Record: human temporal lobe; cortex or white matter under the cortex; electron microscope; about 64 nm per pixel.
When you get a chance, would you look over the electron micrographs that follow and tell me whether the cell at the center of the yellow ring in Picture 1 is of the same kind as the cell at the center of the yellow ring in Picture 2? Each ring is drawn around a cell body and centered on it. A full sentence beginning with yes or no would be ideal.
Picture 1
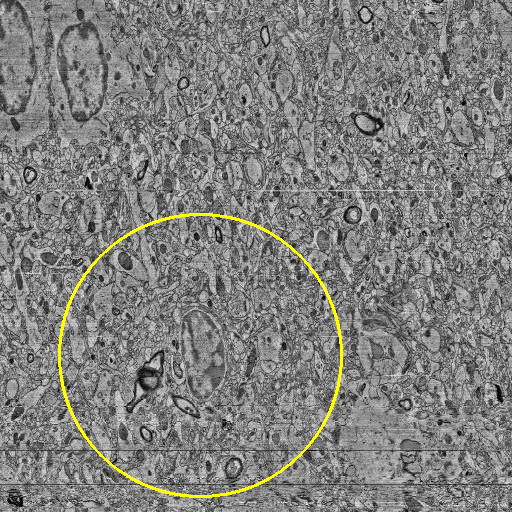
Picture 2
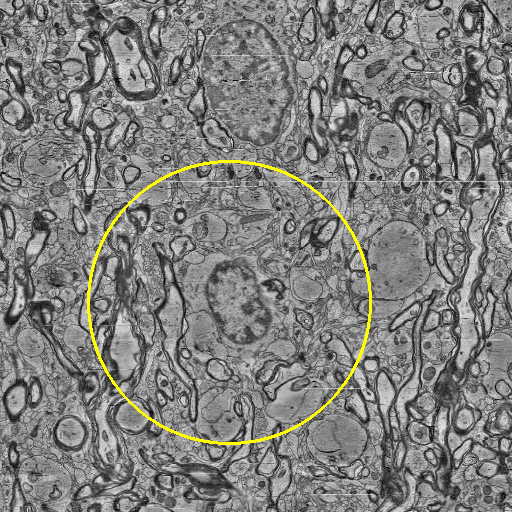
Yes, the two cells are of the same kind.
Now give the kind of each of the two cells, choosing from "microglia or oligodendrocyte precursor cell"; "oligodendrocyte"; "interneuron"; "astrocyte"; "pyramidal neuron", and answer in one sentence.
Each of the two rings surrounds a microglial cell or oligodendrocyte precursor cell.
